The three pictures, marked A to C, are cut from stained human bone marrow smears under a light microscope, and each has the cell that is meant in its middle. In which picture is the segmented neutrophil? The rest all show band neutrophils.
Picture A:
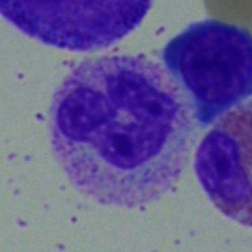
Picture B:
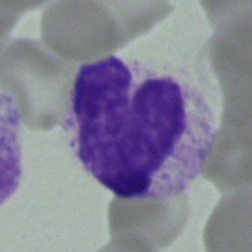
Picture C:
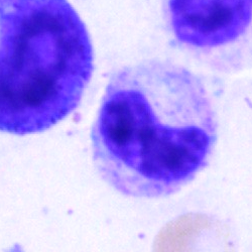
A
